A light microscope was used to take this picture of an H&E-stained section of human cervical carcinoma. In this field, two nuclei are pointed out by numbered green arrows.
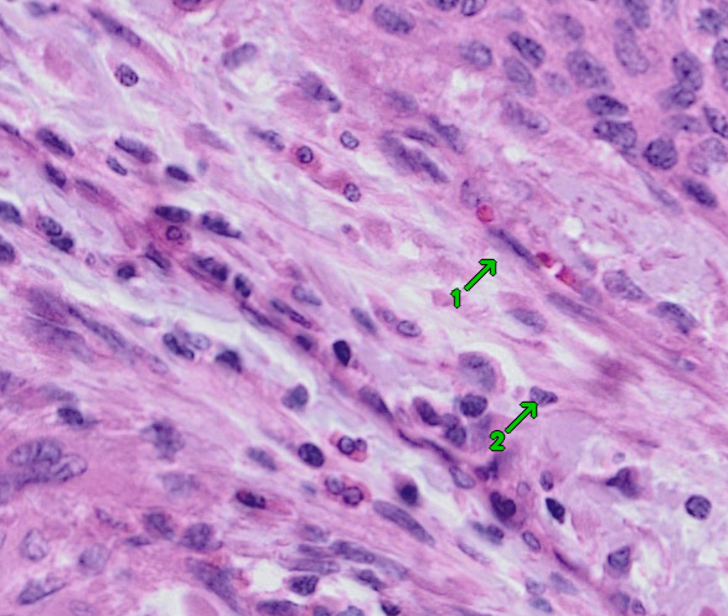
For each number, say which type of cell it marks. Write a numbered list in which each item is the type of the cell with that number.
1. endothelial cell
2. lymphocyte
